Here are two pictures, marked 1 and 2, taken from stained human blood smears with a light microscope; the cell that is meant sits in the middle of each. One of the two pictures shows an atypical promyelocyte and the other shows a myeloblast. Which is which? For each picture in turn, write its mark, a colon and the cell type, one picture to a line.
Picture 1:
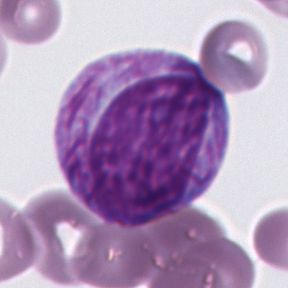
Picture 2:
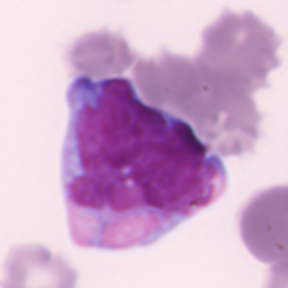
1: atypical promyelocyte
2: myeloblast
